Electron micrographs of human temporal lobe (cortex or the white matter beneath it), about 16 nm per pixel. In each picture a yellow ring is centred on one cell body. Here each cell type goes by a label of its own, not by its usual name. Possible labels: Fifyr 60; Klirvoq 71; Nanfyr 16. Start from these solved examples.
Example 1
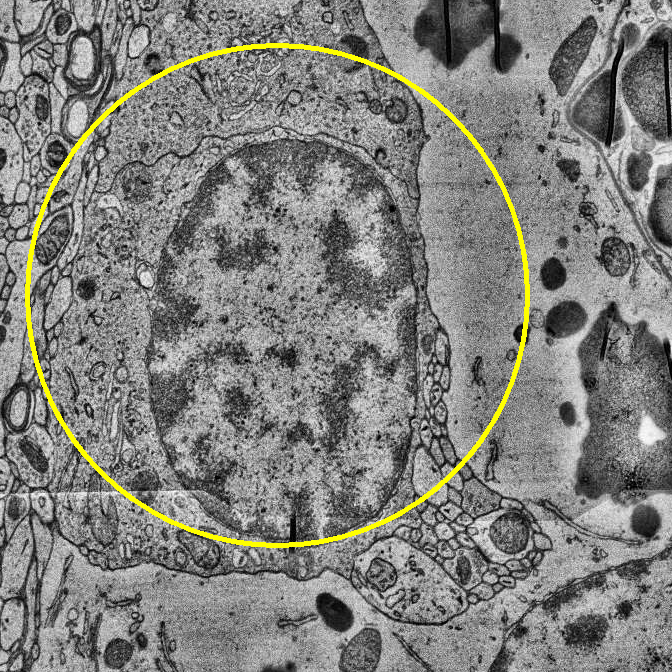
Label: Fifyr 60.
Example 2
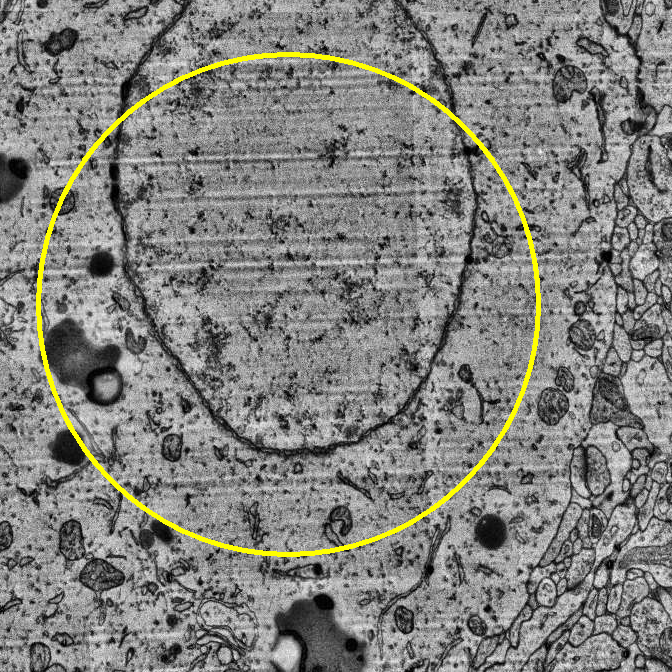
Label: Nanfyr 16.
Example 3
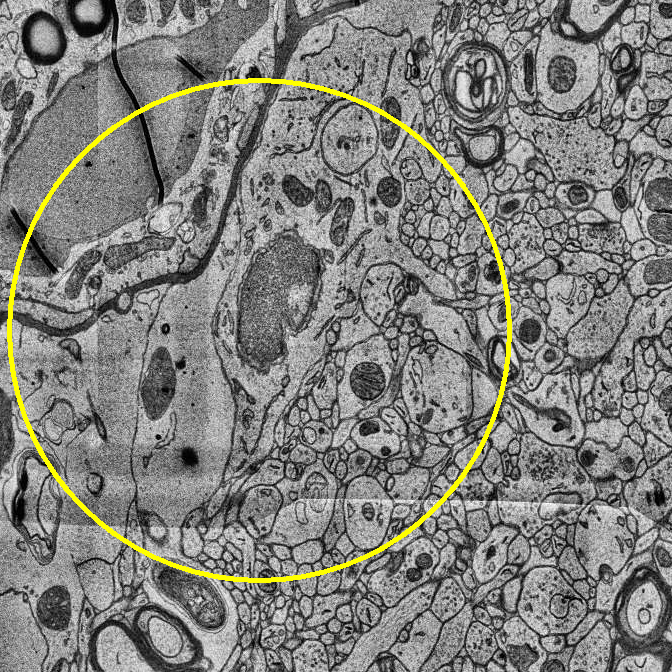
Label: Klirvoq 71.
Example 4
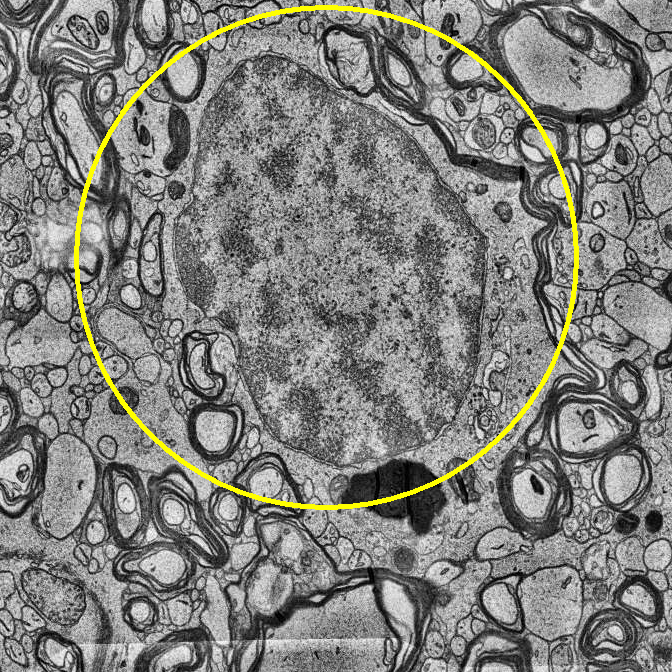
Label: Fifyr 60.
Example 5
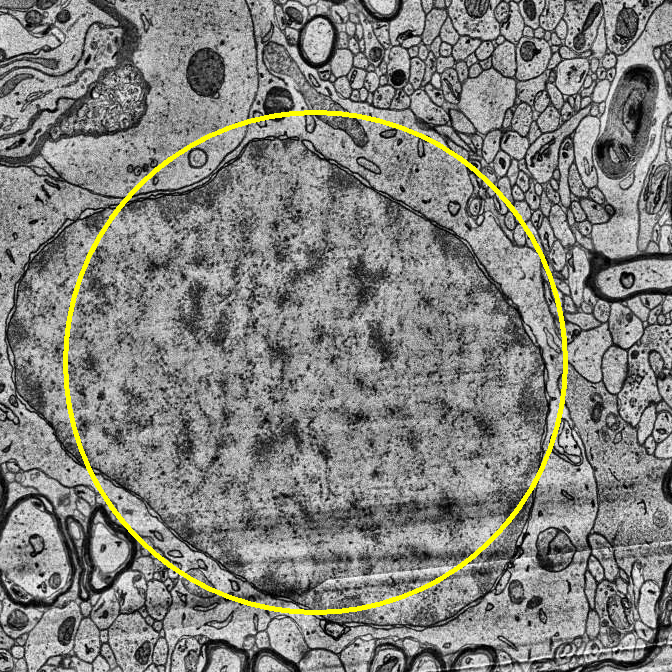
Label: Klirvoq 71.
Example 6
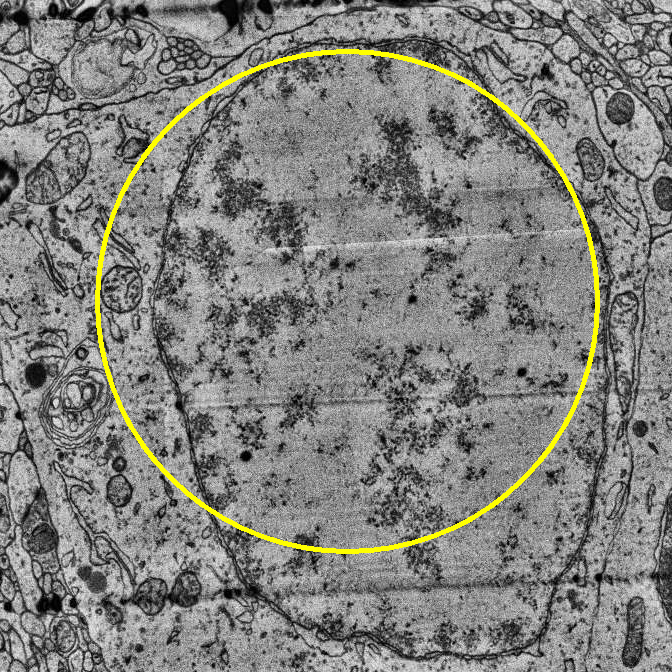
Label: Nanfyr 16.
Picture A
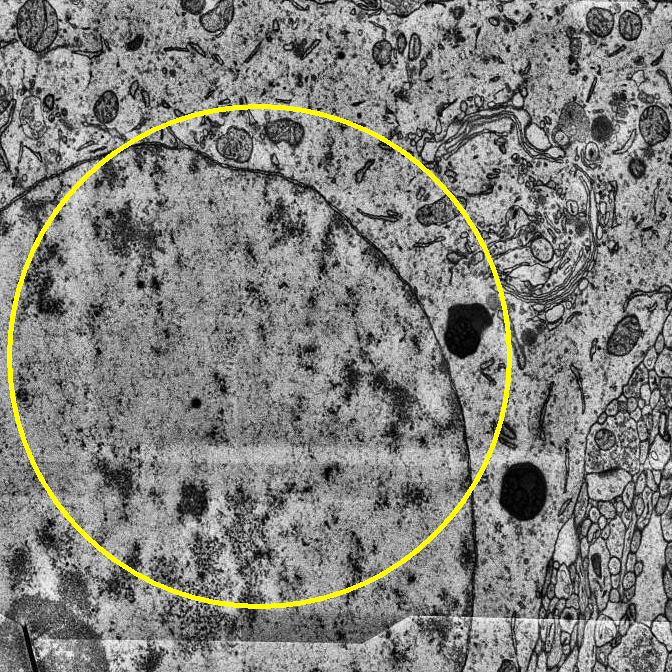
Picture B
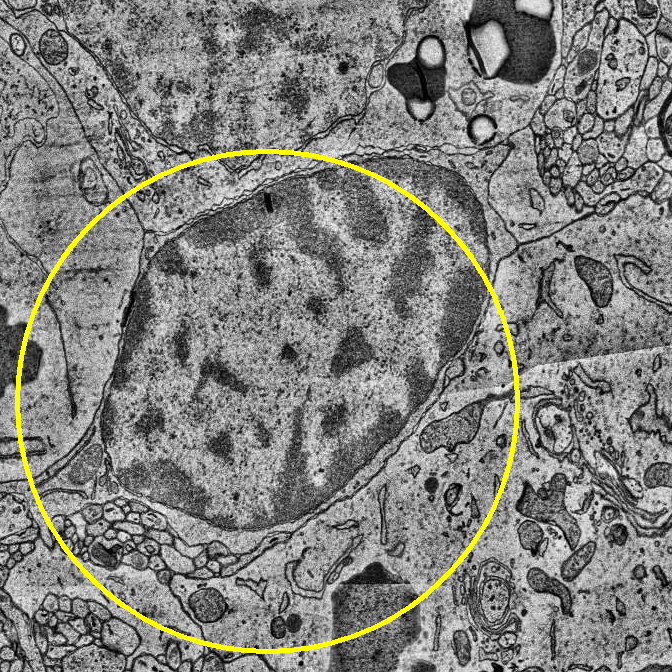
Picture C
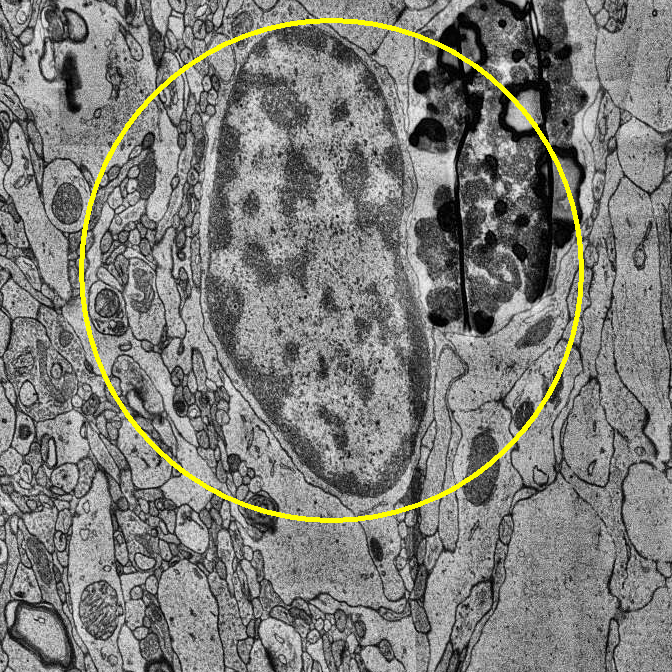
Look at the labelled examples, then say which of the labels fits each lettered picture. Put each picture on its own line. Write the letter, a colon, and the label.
A: Nanfyr 16.
B: Klirvoq 71.
C: Klirvoq 71.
